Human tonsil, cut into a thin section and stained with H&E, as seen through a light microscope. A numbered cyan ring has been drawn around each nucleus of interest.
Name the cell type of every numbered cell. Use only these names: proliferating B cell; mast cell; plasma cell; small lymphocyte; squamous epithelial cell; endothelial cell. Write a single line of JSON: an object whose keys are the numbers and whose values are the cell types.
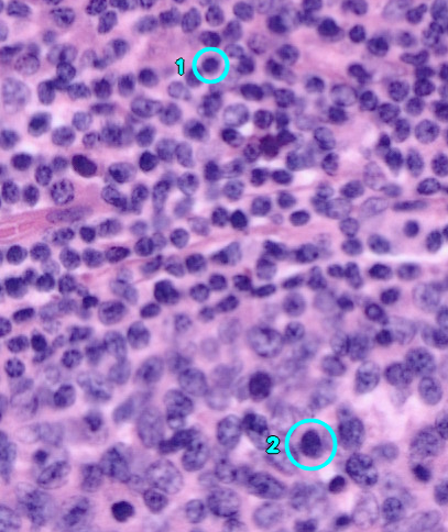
{"1": "small lymphocyte", "2": "proliferating B cell"}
